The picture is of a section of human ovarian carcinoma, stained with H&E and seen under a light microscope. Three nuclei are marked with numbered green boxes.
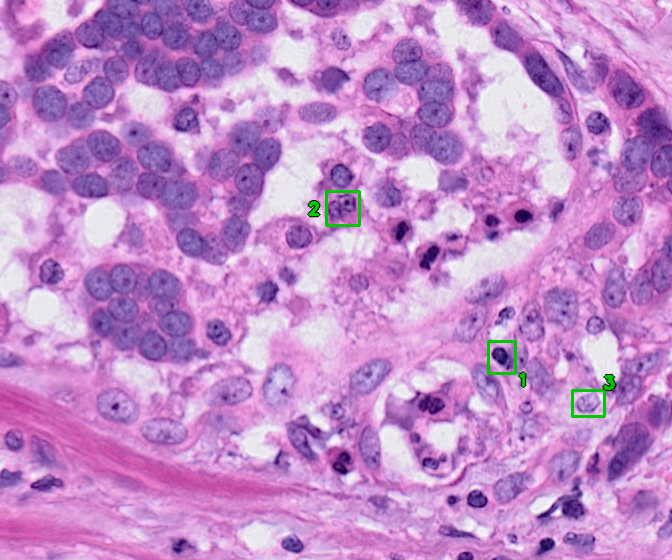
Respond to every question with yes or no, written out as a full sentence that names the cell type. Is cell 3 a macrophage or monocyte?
Yes, it checks out; the cell labelled 3 is a macrophage or monocyte.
